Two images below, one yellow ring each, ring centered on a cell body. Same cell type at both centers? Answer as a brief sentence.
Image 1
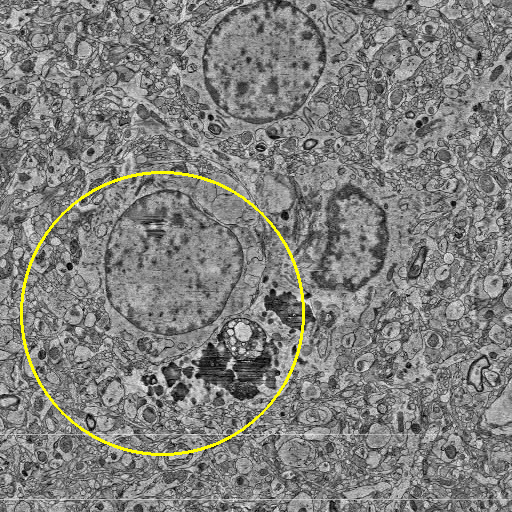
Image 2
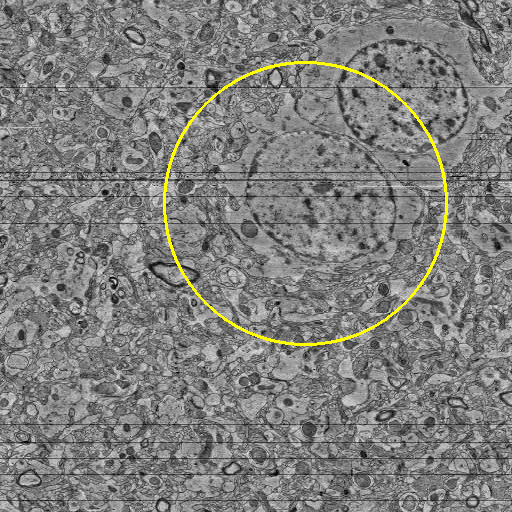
Yes, both cells are of the same type.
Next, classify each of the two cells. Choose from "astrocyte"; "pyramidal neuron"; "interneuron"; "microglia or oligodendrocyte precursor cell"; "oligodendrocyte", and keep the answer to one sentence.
In each of the two pictures, the ringed cell is an astrocyte.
